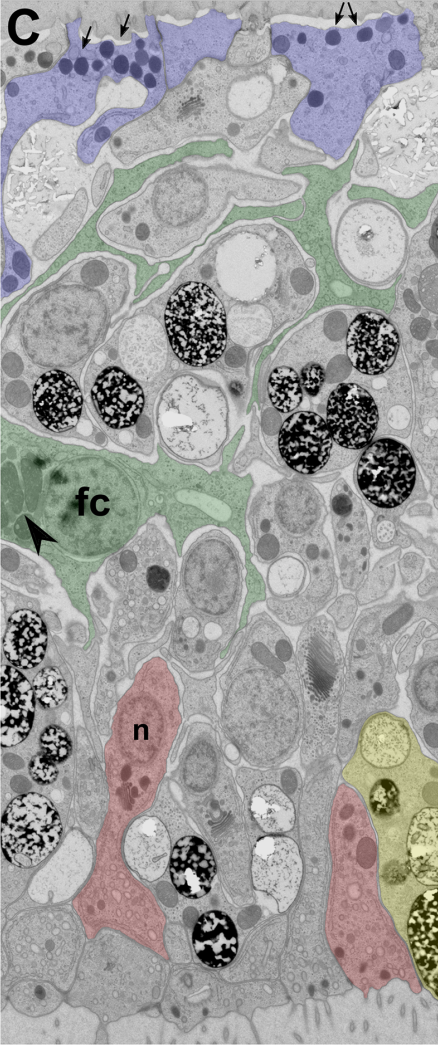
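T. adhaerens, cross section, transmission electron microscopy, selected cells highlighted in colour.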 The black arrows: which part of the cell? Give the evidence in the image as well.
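Dense granules. Round, dark, uniformly electron-dense bodies sit near the top surface of the section. They lie within flat cells at the upper edge.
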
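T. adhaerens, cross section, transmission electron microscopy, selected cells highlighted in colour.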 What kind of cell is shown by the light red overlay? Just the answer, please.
cylinder cells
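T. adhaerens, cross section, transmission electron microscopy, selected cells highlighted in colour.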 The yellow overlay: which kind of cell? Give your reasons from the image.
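Lipophil cells. The cell in the lower layer is filled with large vesicles. Some vesicles are dense and mottled.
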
